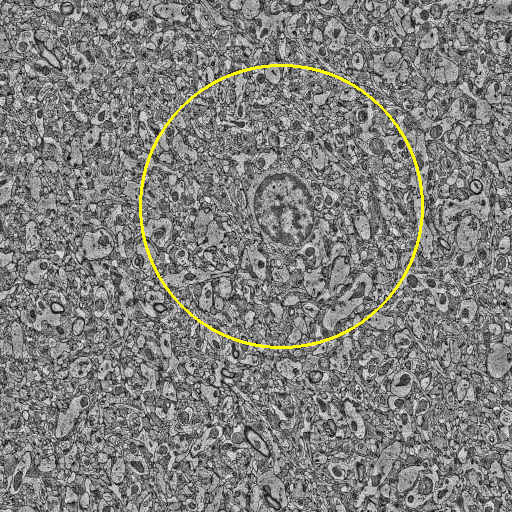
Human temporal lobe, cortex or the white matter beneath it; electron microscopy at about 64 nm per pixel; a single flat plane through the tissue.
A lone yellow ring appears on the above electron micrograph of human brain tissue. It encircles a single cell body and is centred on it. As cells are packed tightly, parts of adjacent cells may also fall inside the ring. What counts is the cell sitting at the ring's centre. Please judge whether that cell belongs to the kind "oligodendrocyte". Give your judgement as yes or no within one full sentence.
Yes, the cell lying at the centre of the ring in the picture belongs to this kind.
